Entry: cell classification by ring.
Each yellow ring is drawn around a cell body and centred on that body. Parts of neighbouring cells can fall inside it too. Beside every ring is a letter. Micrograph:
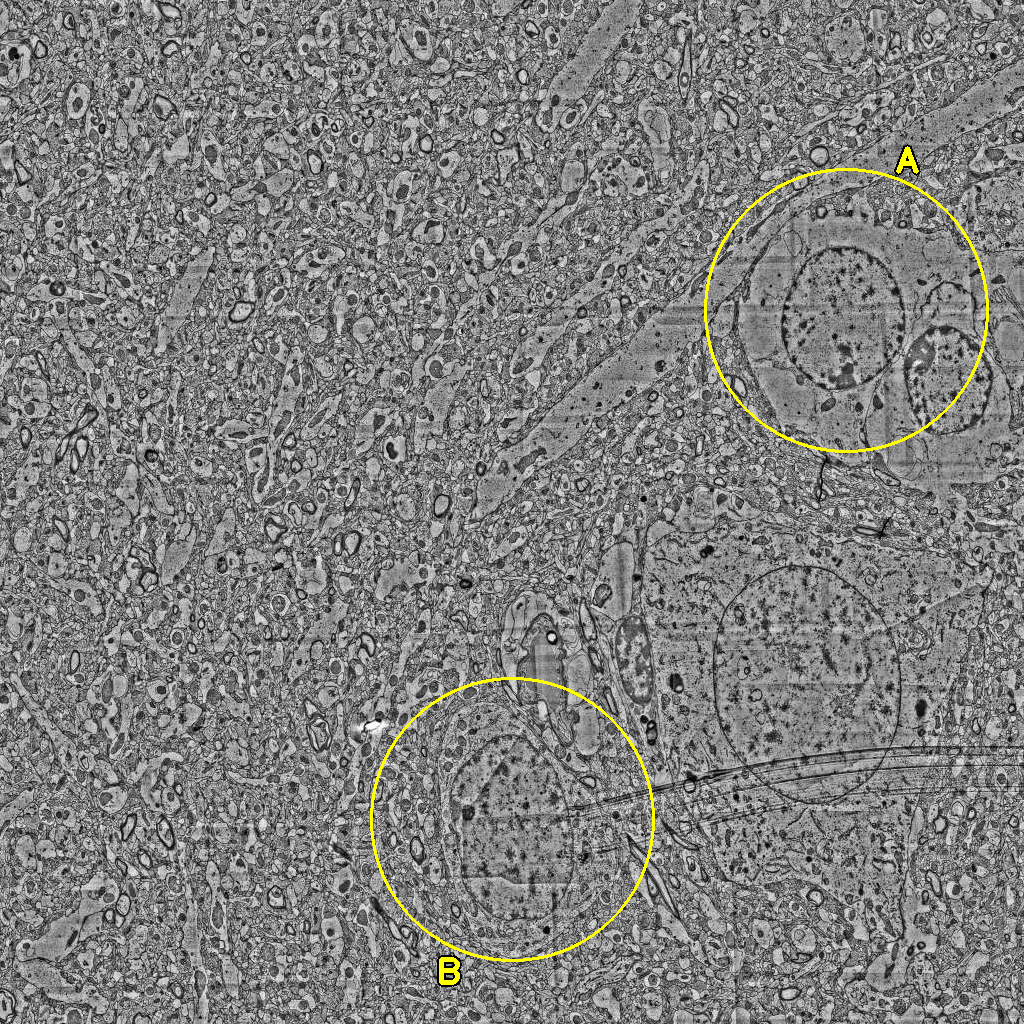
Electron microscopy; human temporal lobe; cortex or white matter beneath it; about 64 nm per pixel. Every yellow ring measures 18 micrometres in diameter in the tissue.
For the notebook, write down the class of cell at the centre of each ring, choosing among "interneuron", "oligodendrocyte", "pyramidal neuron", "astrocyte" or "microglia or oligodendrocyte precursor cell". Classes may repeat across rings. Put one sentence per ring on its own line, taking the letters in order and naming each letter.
Ring A marks an astrocyte.
Ring B marks an interneuron.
